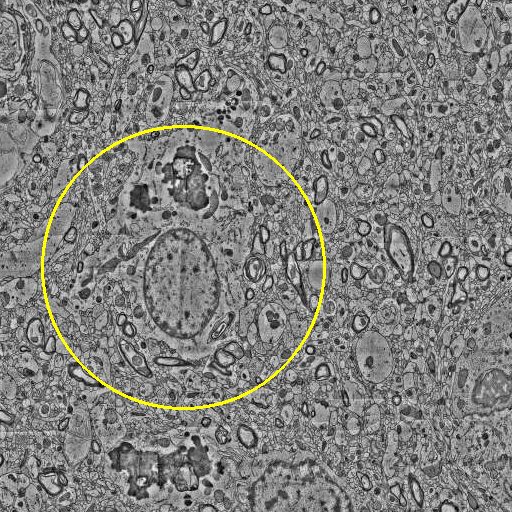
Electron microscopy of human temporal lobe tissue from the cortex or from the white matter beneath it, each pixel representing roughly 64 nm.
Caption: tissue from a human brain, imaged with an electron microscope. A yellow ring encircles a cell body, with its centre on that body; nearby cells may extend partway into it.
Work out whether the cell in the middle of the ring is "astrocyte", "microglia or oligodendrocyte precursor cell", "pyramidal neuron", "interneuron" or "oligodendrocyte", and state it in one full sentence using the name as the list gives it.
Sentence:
In the picture, the cell that the yellow ring surrounds at its centre is an astrocyte.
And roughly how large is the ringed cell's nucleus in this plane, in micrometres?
Roughly 7 by 5 micrometres is the size of the nucleus in this plane.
